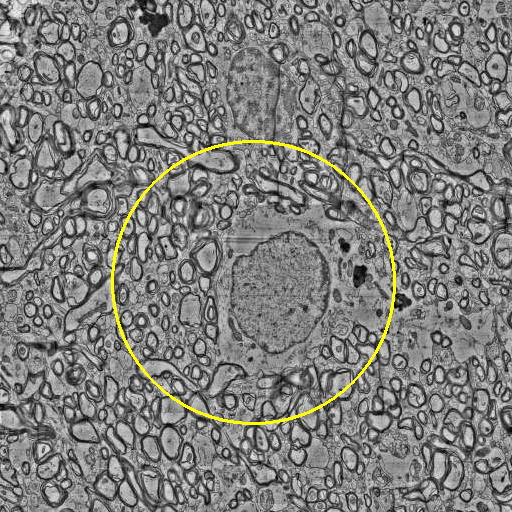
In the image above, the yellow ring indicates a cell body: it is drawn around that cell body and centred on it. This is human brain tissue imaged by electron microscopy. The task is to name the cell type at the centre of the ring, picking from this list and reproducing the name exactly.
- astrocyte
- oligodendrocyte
astrocyte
